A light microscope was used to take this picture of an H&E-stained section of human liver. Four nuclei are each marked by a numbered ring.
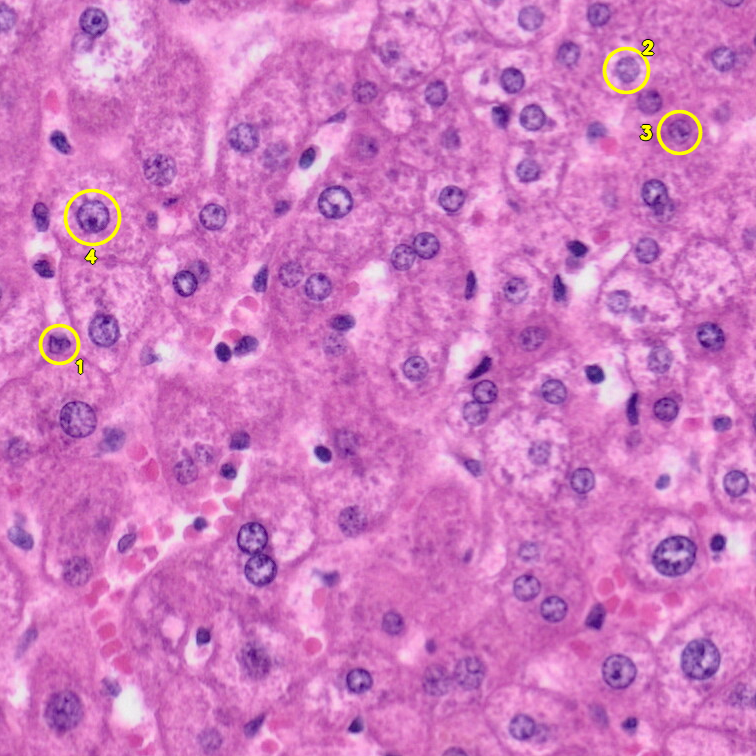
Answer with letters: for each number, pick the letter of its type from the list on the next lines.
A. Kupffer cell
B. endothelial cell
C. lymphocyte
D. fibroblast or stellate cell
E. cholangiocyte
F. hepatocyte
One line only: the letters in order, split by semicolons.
B; F; F; F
